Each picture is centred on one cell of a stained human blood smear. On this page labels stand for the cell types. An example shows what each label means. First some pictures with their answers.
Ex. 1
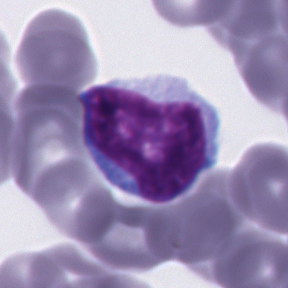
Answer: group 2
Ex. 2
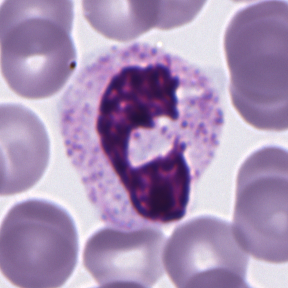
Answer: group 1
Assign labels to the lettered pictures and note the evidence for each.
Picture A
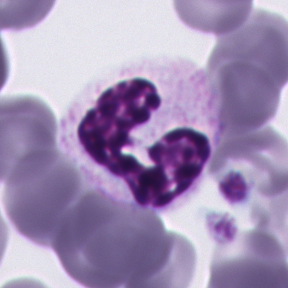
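group 1: The cytoplasm is abundant and pale pinkish-lilac.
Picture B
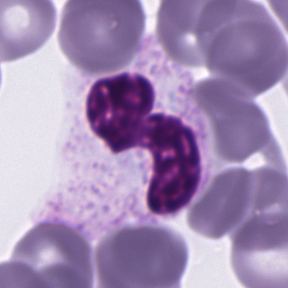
group 1: The nucleus has two lobes joined by a broad band of nuclear material.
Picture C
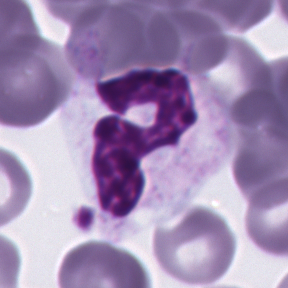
group 1: The cytoplasm is abundant and pale lilac-pink.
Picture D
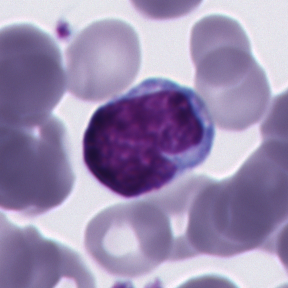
group 2: The nucleus fills most of the cell.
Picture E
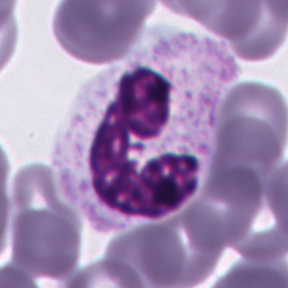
group 1: The nucleus is bent into a C shape whose opening faces right.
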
